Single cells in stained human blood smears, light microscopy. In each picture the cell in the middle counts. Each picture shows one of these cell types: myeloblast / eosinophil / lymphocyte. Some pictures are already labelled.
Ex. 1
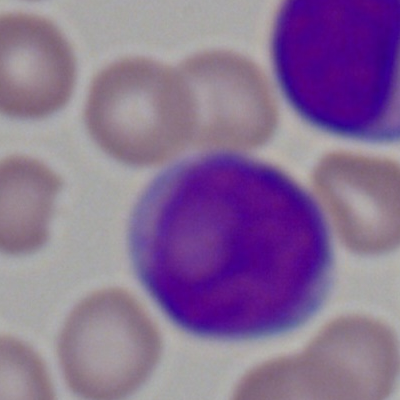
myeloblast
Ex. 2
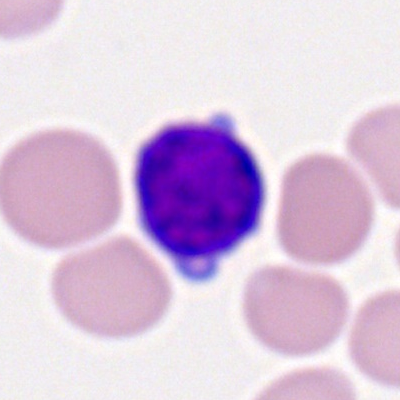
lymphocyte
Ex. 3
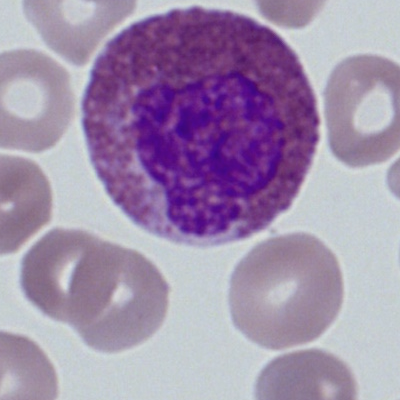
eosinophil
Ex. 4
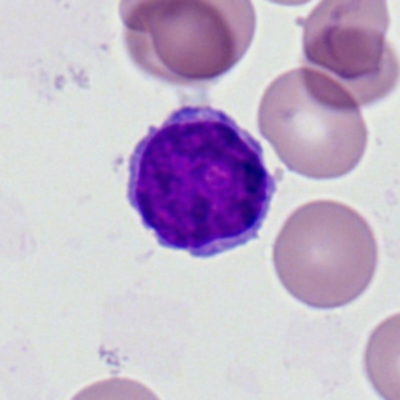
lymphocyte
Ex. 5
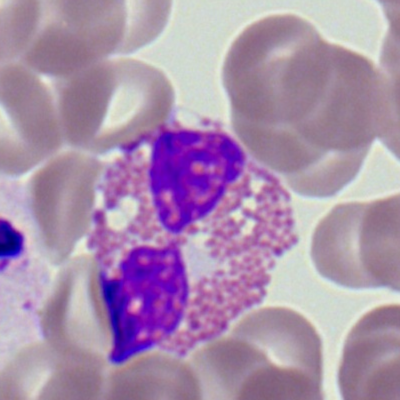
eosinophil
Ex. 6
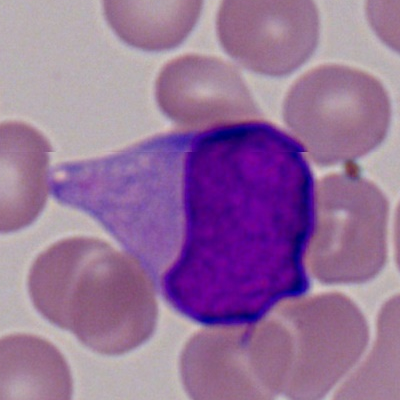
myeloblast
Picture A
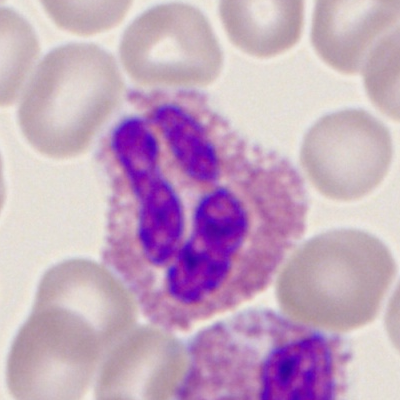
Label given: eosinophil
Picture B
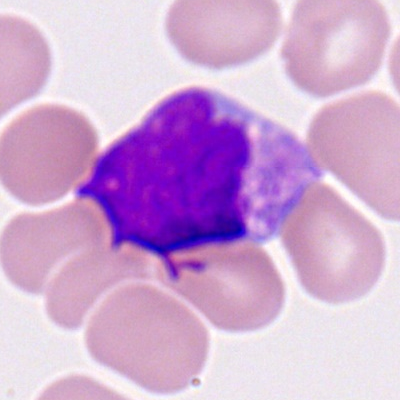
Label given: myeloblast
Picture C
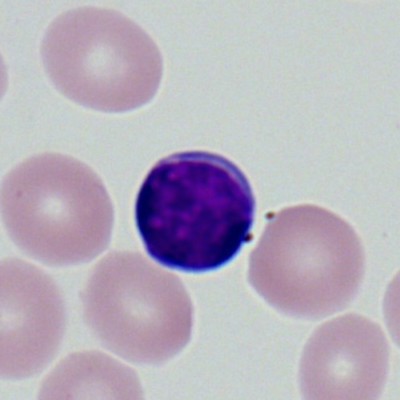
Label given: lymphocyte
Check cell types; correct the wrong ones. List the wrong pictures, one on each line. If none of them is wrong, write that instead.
Nothing to fix; every label fits.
